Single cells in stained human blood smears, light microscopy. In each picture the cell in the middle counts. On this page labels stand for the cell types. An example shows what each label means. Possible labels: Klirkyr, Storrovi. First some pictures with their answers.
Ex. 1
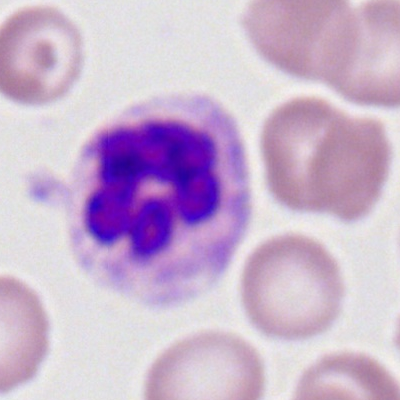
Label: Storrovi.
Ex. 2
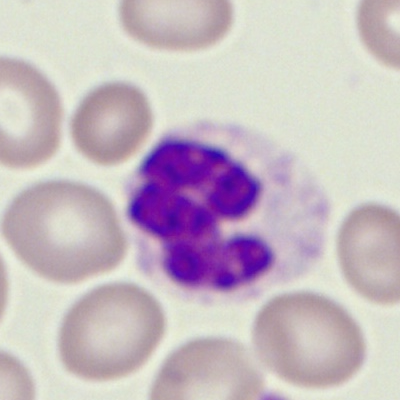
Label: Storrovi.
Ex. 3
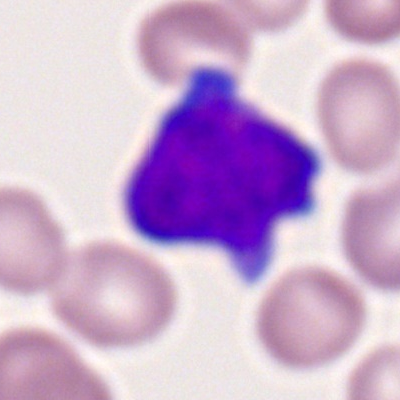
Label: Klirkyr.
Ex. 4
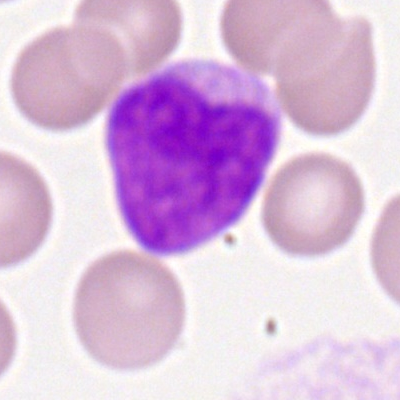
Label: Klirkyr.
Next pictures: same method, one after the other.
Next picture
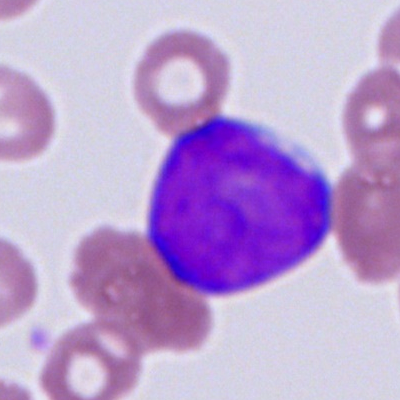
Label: Klirkyr.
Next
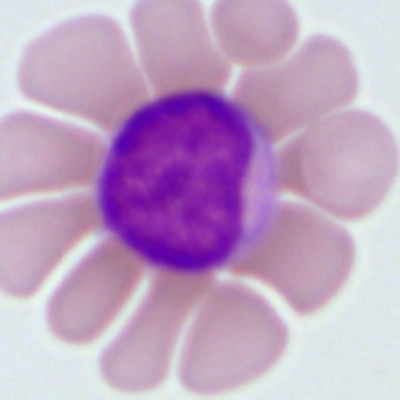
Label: Klirkyr.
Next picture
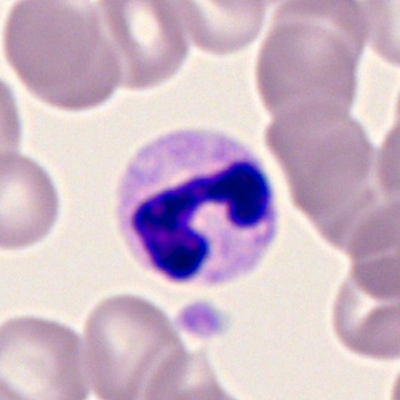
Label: Storrovi.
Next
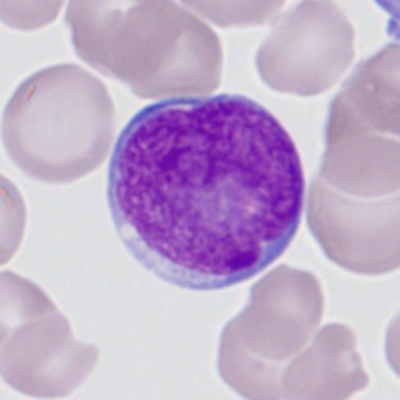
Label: Klirkyr.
